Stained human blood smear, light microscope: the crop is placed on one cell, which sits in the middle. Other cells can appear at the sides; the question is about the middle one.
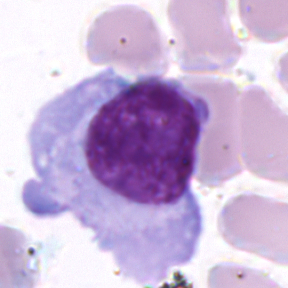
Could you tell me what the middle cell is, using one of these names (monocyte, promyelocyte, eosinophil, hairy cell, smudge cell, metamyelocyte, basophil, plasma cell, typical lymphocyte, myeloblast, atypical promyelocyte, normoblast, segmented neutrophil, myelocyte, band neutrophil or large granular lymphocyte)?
plasma cell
